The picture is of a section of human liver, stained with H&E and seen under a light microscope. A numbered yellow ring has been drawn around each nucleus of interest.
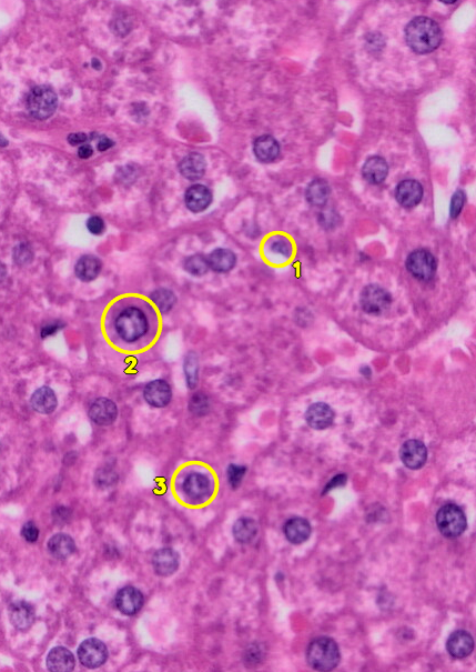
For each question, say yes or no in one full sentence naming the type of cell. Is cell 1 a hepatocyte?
No, the cell labelled number 1 is not a hepatocyte; it is an endothelial cell.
